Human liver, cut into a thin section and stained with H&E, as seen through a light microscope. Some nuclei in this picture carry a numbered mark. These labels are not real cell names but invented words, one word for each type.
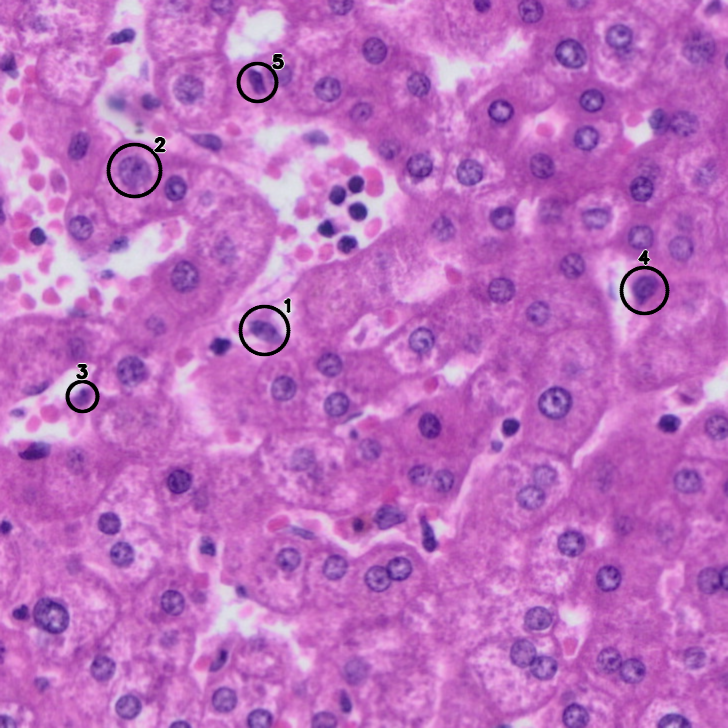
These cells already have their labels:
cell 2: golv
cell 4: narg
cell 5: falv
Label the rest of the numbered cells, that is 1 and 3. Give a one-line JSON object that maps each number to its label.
{"1": "narg", "3": "narg"}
